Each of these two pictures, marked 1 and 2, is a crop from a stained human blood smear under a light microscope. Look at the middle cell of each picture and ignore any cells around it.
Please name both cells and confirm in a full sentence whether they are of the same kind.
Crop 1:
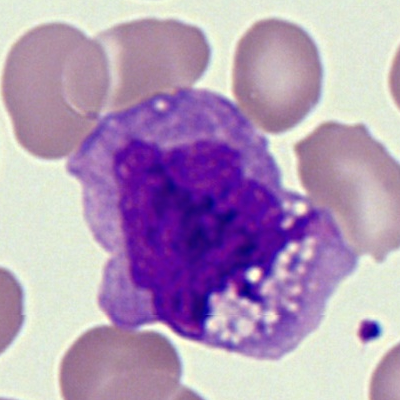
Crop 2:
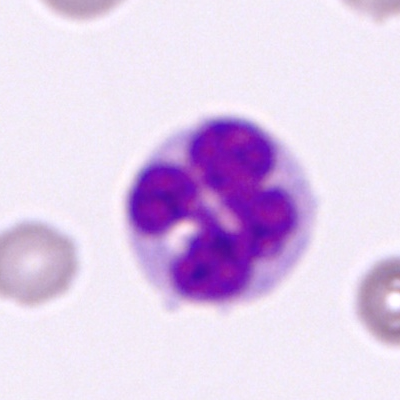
Yes, the central cells, in both crops, are monocytes.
